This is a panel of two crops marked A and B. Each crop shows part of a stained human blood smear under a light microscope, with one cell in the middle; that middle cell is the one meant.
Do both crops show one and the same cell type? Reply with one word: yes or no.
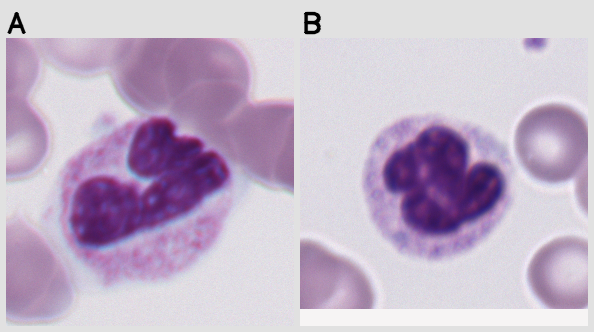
yes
